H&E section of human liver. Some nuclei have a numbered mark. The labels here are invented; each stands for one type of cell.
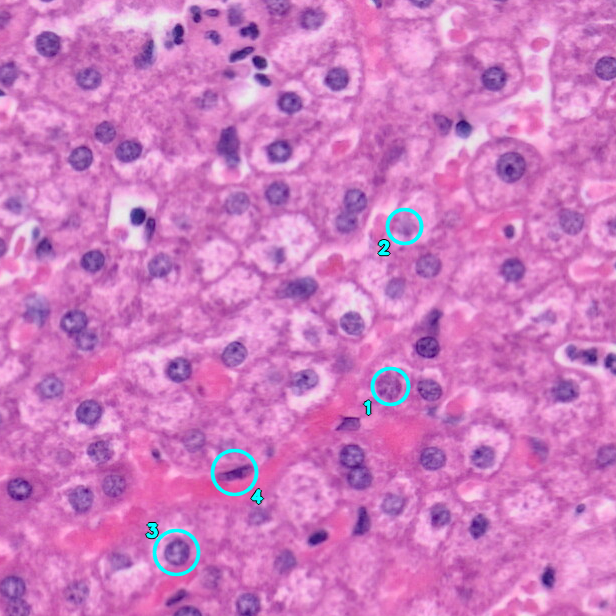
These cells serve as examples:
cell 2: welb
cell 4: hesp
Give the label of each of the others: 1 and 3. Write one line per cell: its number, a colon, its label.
1: welb
3: welb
